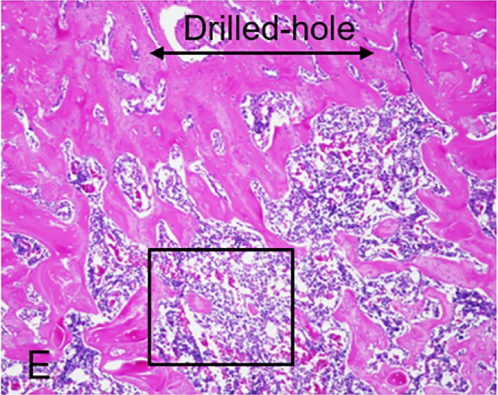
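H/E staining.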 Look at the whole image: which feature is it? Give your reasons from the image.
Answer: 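Irregular pink-staining bony trabeculae cross the region of the hole. Densely cellular tissue fills the spaces between the trabeculae.
Hence: new bone.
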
